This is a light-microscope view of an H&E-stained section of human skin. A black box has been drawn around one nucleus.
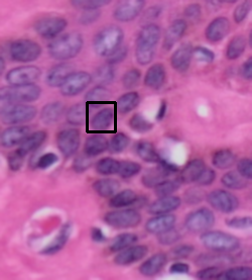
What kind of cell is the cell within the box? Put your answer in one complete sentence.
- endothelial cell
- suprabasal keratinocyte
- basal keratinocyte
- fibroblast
So far as cell type goes, the cell within the box is a basal keratinocyte.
